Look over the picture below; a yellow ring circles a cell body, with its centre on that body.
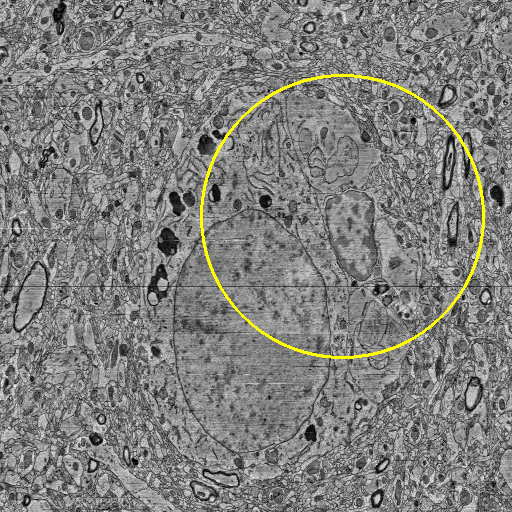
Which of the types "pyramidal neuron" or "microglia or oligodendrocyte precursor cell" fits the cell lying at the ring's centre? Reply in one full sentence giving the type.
The picture shows a microglial cell or oligodendrocyte precursor cell at the centre of the yellow ring.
